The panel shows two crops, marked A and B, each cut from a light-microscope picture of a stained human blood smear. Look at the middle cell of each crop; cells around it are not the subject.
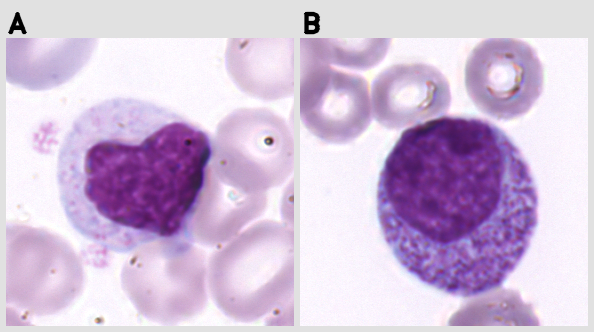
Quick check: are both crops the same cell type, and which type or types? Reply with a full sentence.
No, in fact crop A shows a metamyelocyte, and crop B shows a myelocyte.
